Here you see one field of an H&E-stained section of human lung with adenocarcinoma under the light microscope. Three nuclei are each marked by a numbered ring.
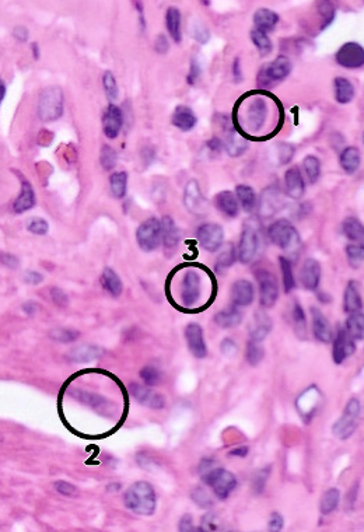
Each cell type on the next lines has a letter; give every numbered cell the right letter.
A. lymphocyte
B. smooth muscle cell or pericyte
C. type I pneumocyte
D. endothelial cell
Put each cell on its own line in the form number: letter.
1: A
2: B
3: A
